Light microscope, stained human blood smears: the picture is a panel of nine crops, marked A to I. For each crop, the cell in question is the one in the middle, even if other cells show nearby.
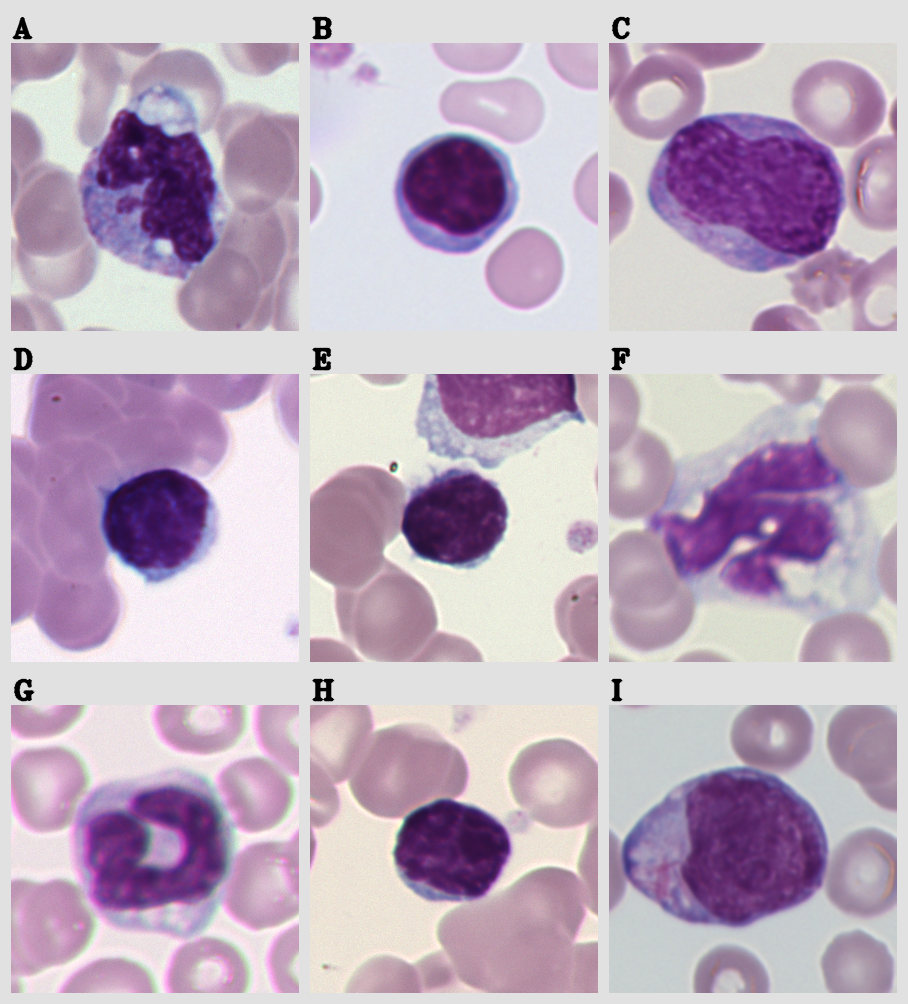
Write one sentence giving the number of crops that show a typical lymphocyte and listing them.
The crops with typical lymphocytes are B, D, E and H, four in total.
